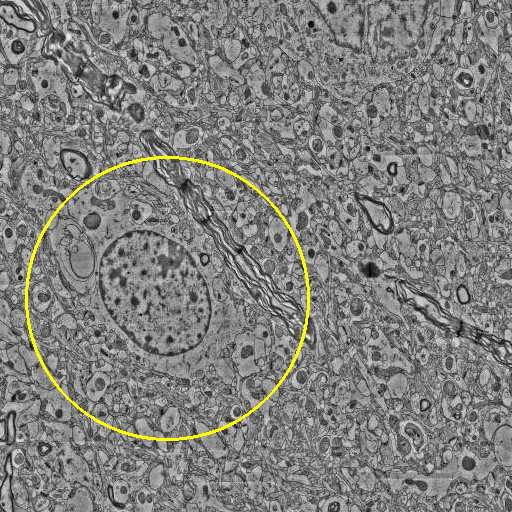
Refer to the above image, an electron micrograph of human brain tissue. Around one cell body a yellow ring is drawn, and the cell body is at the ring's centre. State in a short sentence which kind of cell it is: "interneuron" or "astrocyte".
The centre of the ring falls on an astrocyte.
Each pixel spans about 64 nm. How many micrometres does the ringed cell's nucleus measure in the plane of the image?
The nucleus works out at approximately 9 by 6 micrometres in this plane.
